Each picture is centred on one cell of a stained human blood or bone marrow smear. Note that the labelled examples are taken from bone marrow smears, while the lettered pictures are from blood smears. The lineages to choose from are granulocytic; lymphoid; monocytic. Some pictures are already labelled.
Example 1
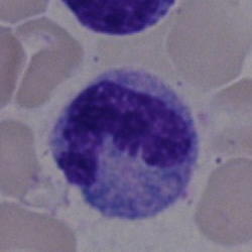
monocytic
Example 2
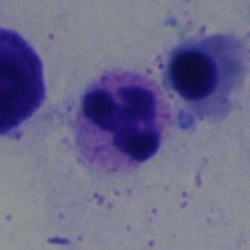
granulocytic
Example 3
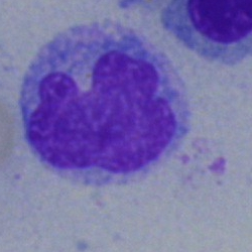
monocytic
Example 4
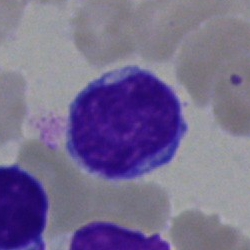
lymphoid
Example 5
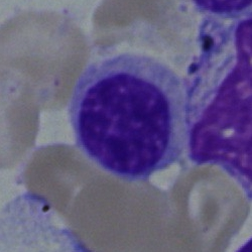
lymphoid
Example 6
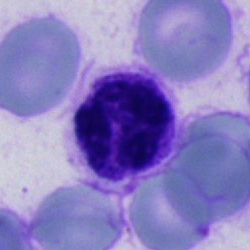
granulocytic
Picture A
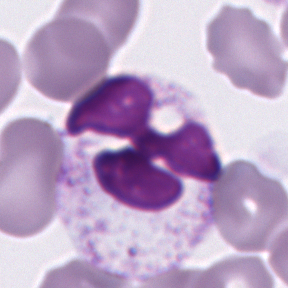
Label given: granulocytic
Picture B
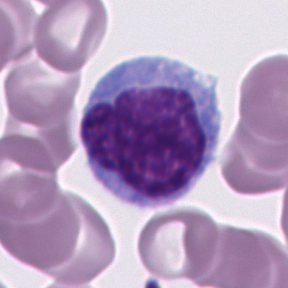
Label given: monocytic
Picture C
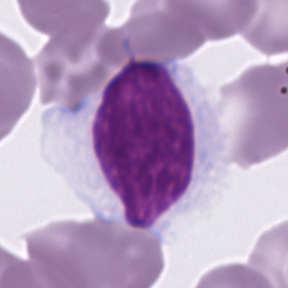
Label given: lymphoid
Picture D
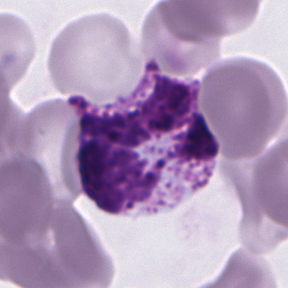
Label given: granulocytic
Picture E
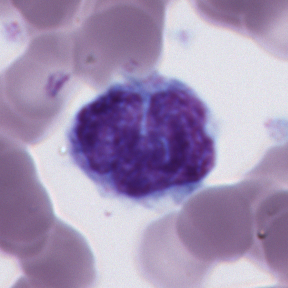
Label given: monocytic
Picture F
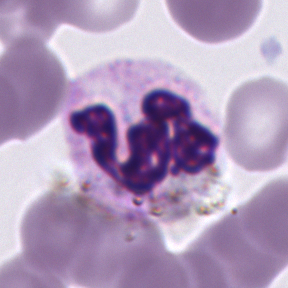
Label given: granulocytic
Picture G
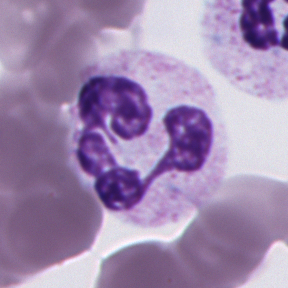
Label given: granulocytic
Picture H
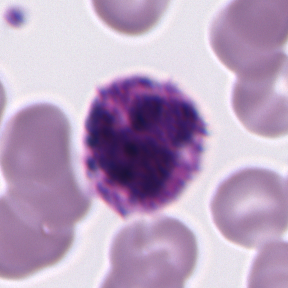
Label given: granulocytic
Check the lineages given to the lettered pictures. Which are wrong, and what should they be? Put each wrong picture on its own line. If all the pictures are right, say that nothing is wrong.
None of the labels needs changing.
